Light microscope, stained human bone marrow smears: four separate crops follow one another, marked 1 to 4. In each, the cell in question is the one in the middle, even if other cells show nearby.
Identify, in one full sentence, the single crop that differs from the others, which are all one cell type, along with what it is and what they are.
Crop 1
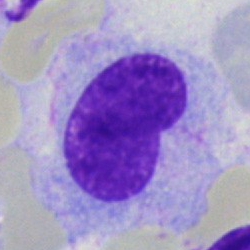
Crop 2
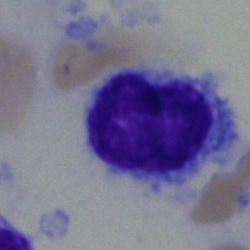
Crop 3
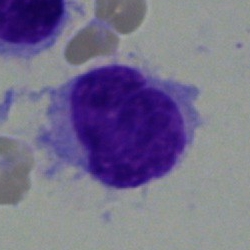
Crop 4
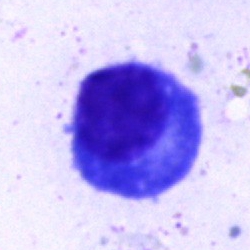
The crops all show hairy cells, with the exception of crop 4, which shows a plasma cell.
